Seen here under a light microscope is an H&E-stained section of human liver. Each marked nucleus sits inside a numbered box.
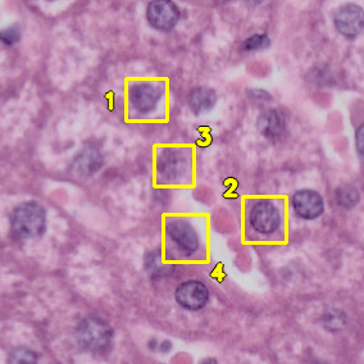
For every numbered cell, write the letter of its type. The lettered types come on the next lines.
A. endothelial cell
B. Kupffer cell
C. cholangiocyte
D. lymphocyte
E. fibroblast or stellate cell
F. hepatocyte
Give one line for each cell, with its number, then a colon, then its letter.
1: F
2: F
3: F
4: B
